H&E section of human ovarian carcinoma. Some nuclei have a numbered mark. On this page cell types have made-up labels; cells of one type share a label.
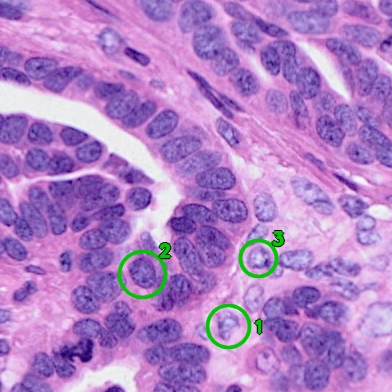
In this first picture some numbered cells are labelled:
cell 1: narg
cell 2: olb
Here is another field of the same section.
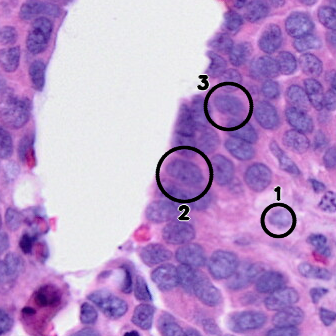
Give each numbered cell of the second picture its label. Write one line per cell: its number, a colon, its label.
1: narg
2: olb
3: olb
